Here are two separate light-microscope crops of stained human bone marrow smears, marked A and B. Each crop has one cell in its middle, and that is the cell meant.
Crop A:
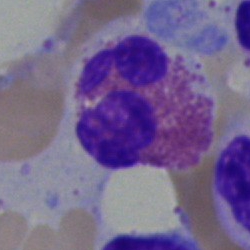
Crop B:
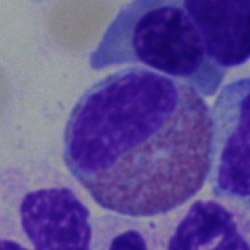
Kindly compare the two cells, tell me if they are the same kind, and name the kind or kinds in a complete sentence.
Yes, with regard to both crops, the central cells are eosinophils.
